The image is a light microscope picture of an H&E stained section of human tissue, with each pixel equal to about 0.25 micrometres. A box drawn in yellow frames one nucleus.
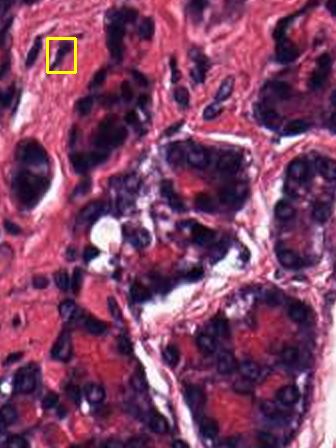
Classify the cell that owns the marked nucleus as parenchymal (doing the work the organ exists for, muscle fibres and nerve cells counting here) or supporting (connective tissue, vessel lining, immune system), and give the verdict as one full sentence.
The marked nucleus is held by a supporting cell.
